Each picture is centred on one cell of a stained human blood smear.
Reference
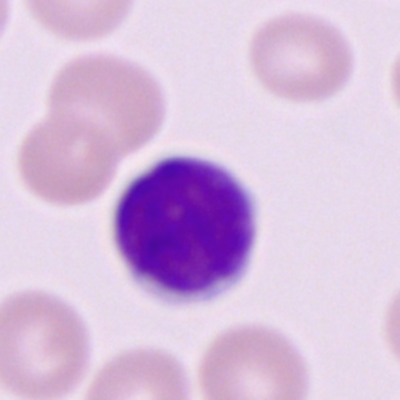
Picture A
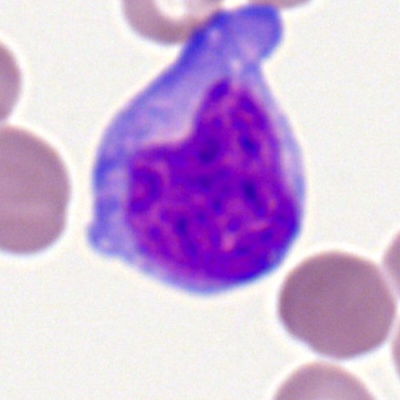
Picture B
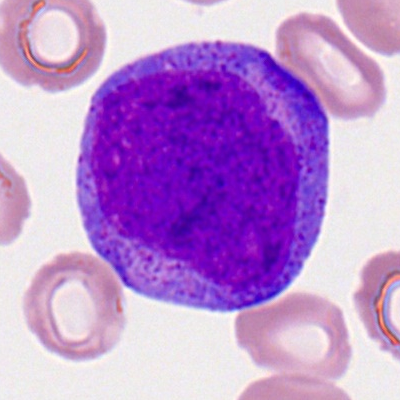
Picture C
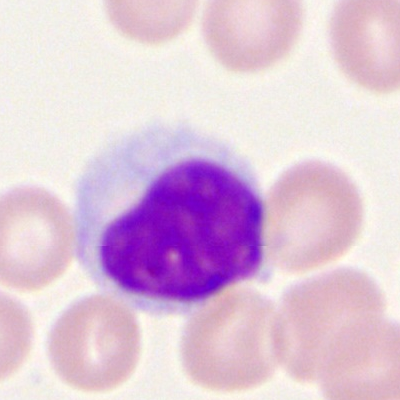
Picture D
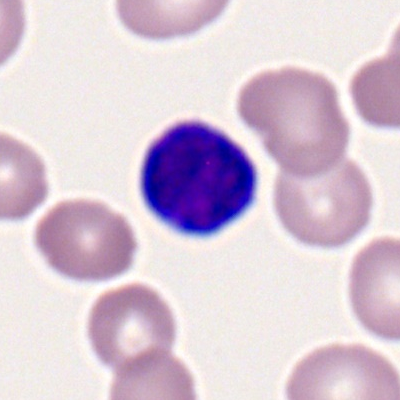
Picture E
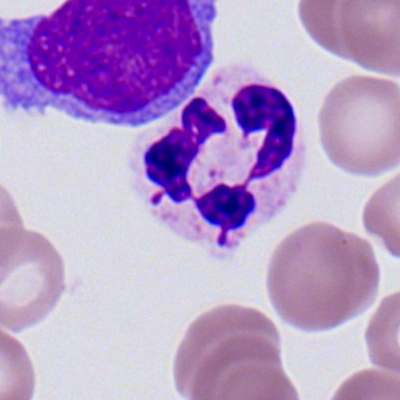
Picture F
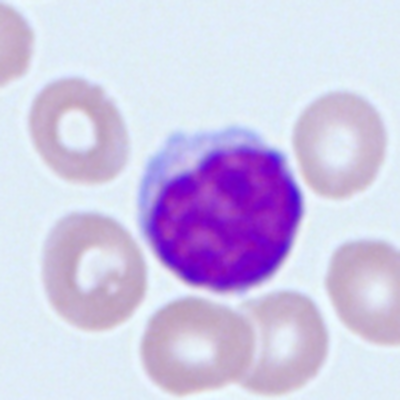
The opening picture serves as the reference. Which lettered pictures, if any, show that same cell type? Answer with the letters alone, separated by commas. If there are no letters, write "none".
C, D, F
